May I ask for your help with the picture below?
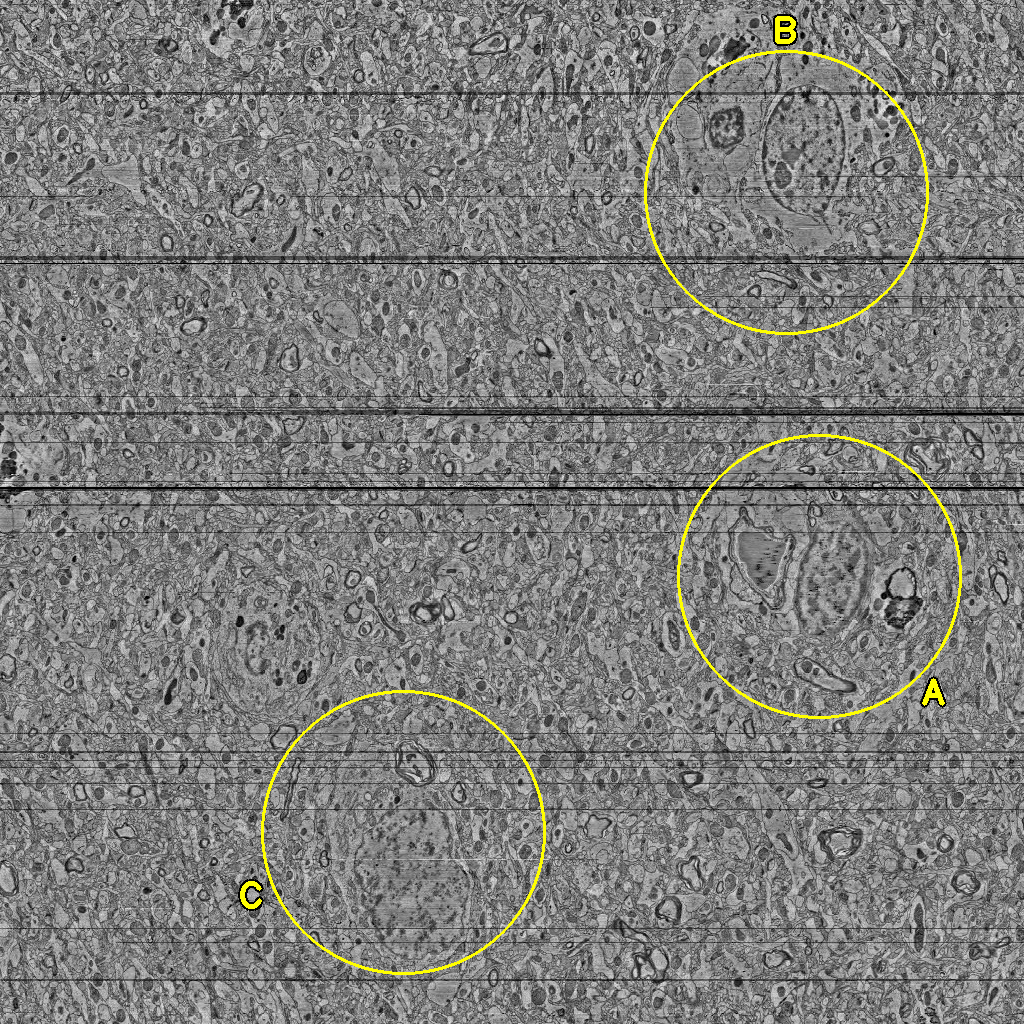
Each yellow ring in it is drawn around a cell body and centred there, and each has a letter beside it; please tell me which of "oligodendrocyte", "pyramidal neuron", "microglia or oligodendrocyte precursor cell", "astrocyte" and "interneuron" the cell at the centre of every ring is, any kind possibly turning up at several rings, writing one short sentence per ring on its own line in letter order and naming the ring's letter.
Ring A is drawn around the cell body of an oligodendrocyte.
Ring B is drawn around the cell body of an astrocyte.
Ring C is drawn around the cell body of an interneuron.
